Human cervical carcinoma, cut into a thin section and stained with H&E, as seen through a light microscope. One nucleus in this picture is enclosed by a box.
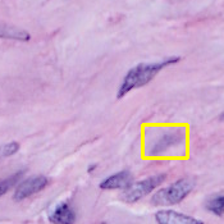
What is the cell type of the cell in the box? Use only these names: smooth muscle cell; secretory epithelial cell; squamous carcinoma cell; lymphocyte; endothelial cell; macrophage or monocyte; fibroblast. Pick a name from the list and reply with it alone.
smooth muscle cell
